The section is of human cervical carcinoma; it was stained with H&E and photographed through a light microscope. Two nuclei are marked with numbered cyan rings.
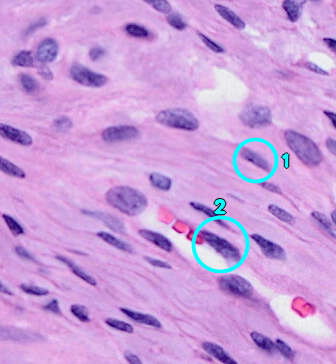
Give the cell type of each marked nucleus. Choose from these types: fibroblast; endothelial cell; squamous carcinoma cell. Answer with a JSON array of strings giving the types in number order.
["fibroblast", "endothelial cell"]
